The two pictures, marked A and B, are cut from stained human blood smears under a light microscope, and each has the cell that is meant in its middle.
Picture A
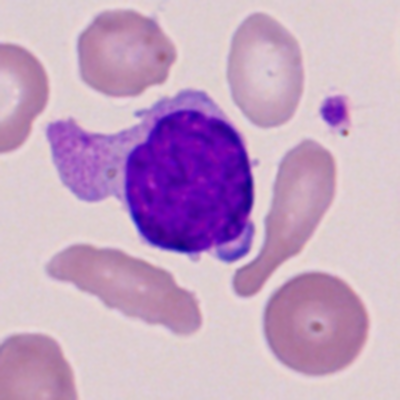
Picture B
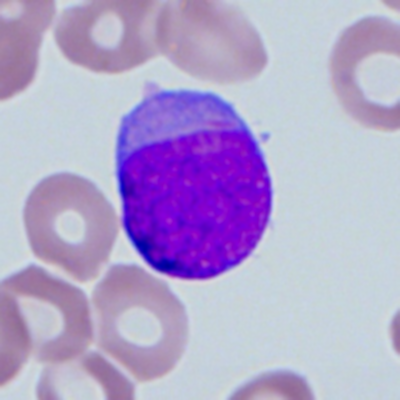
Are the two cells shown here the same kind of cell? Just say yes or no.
no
